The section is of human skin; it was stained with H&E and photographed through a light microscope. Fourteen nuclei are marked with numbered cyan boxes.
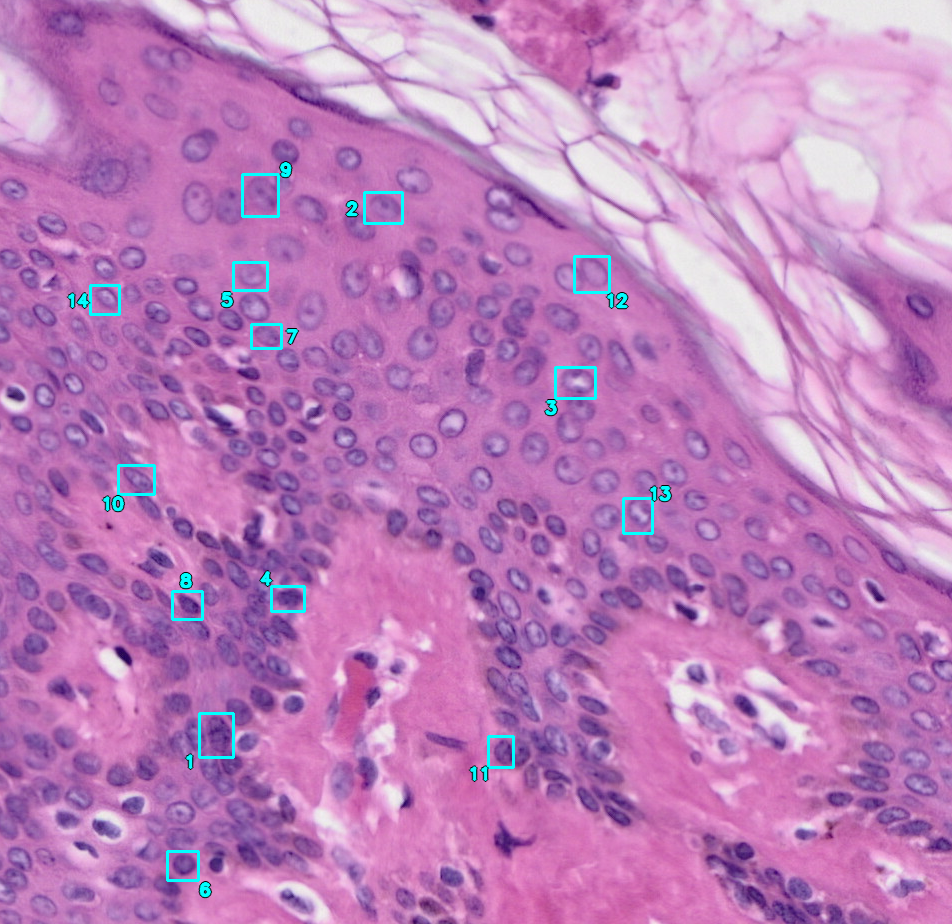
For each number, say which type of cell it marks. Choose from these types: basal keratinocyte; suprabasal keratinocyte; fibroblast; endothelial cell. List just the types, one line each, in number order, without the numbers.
basal keratinocyte
suprabasal keratinocyte
suprabasal keratinocyte
basal keratinocyte
suprabasal keratinocyte
basal keratinocyte
suprabasal keratinocyte
basal keratinocyte
suprabasal keratinocyte
basal keratinocyte
basal keratinocyte
suprabasal keratinocyte
suprabasal keratinocyte
suprabasal keratinocyte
